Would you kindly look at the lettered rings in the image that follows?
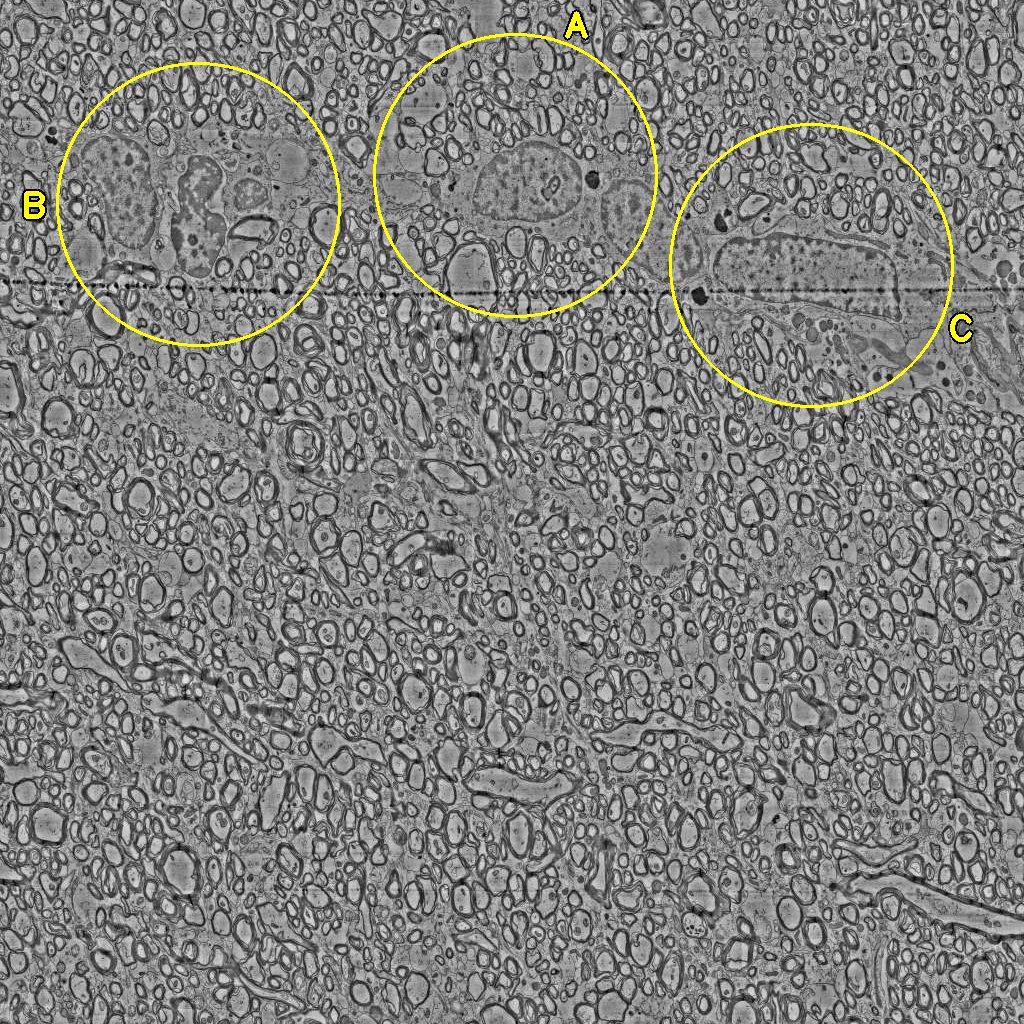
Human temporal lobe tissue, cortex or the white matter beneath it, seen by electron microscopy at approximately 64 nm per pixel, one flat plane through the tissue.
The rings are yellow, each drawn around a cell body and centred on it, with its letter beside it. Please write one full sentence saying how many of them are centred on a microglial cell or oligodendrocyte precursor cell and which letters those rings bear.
The rings each centred on a microglial cell or oligodendrocyte precursor cell total two and are lettered B and C.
